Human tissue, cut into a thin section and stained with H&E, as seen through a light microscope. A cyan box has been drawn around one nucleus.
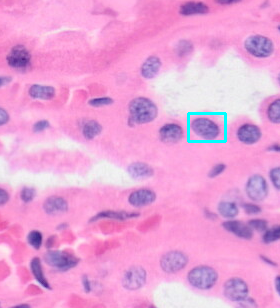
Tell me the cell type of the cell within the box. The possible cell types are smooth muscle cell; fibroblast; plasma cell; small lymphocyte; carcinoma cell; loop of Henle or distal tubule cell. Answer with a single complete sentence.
In this preparation, the cell within the box is a loop of Henle or distal tubule cell.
